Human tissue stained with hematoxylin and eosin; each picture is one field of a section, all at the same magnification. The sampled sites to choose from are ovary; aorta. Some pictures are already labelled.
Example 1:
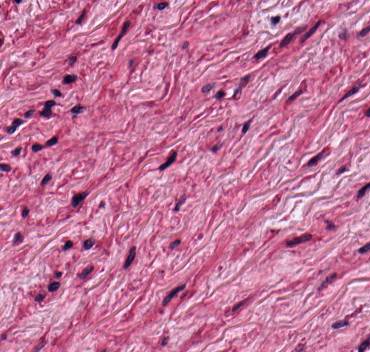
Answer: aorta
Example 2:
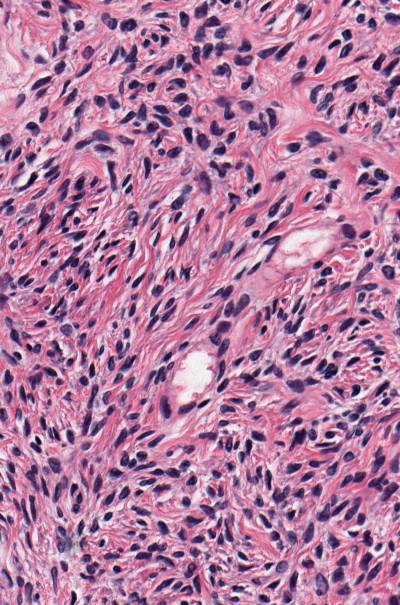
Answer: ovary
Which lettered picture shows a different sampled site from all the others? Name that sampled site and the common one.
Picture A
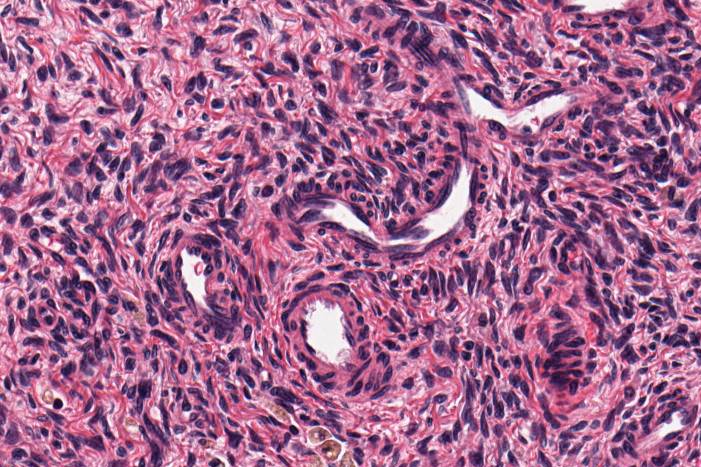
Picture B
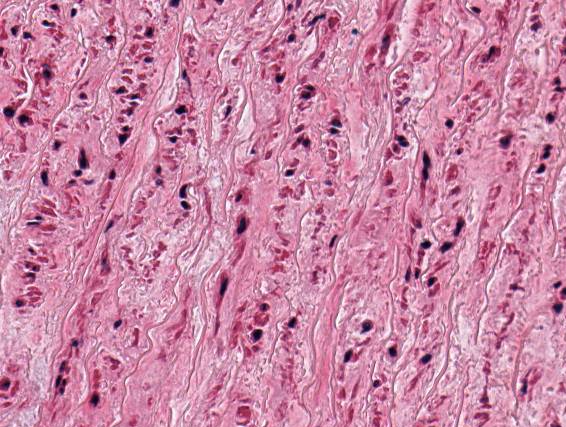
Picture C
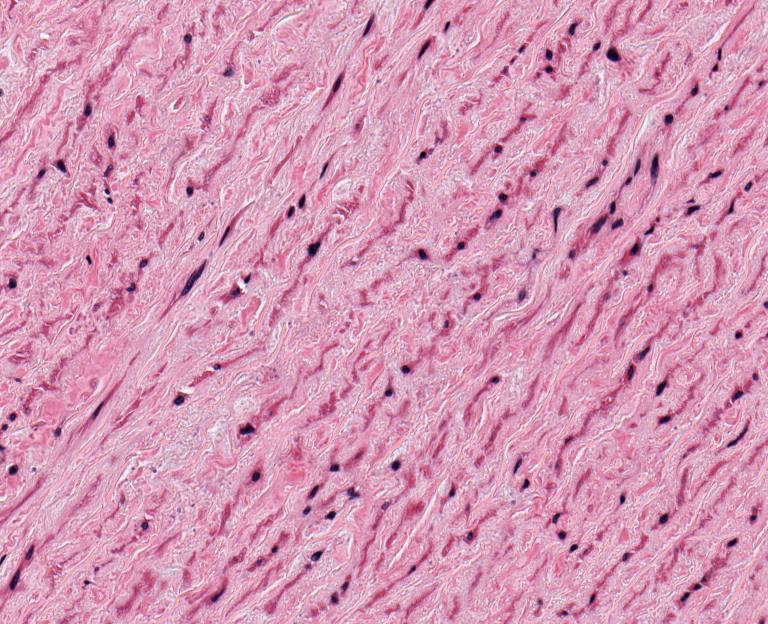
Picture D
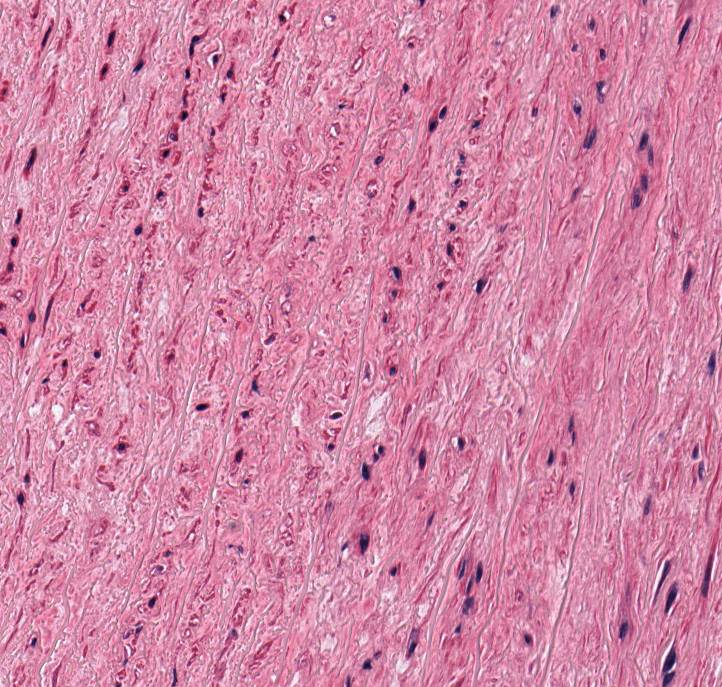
A (ovary) is the exception; every other picture is aorta.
